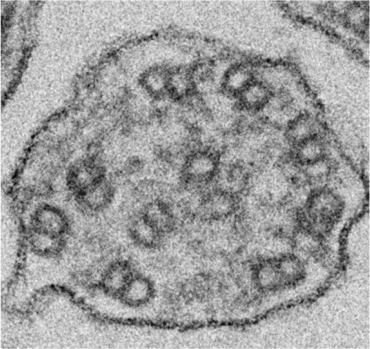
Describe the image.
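A cross-section of a cilium shows a disordered axoneme in which a peripheral microtubule doublet has been moved into the centre. The outer ring of doublets is incomplete and irregularly spaced beneath the wavy ciliary membrane.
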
